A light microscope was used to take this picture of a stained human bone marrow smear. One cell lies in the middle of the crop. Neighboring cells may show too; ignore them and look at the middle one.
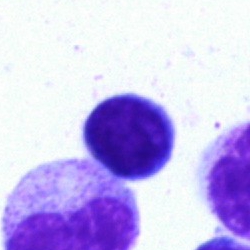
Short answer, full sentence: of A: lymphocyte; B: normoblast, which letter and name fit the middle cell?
Given that the cell in the middle is a lymphocyte, option A is correct.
